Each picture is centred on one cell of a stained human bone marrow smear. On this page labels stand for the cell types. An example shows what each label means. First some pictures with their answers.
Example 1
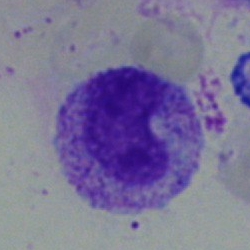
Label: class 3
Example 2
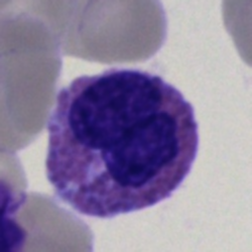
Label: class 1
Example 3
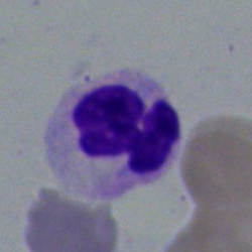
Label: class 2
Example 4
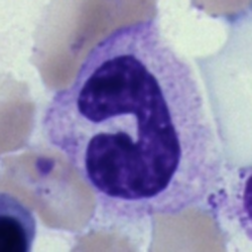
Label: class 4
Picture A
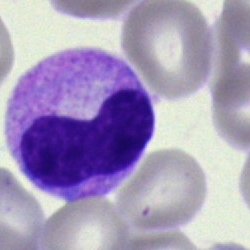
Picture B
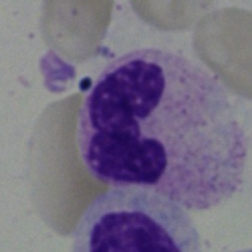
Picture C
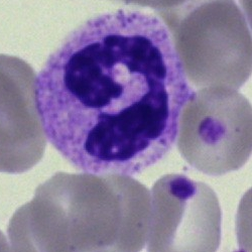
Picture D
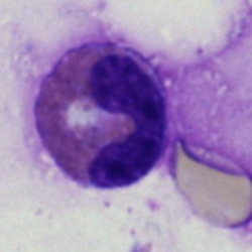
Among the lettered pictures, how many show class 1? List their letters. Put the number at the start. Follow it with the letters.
1: D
